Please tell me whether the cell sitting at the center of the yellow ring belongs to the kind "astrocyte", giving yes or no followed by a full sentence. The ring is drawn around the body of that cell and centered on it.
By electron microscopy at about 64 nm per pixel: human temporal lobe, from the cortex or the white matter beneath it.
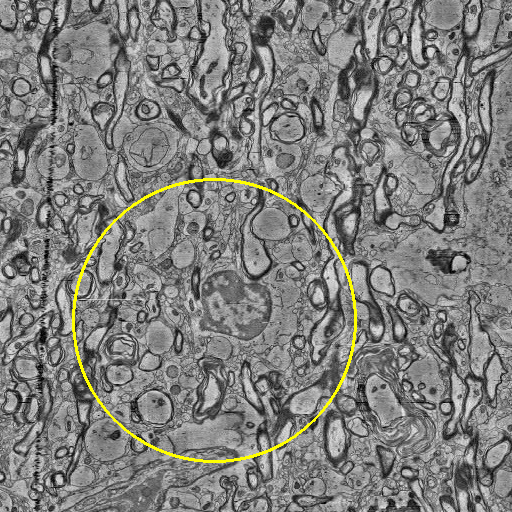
No, the cell at the center of the ring in the picture is of another kind.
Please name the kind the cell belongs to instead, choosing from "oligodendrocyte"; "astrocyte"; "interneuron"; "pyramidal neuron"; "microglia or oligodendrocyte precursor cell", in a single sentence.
The cell circled by the yellow ring is a microglial cell or oligodendrocyte precursor cell.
